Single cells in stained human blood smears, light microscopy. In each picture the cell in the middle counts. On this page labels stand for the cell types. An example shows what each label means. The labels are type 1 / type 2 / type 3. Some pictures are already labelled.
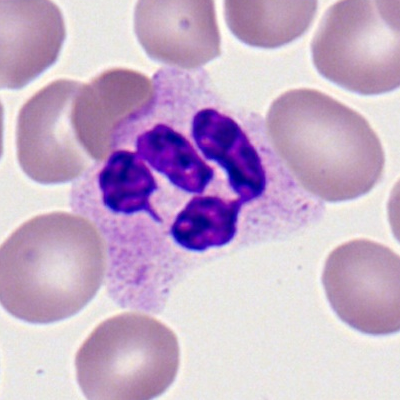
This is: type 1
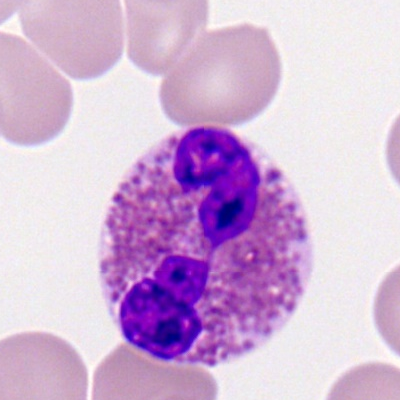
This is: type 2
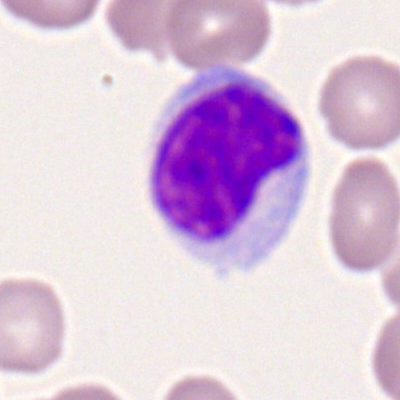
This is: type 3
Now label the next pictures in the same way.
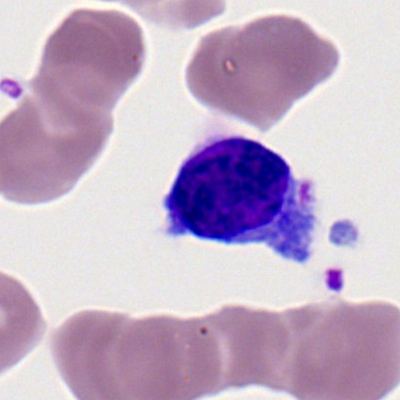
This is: type 3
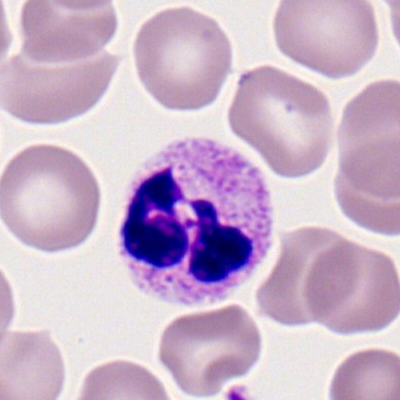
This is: type 1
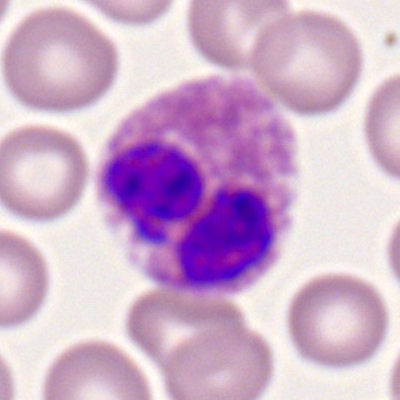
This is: type 2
